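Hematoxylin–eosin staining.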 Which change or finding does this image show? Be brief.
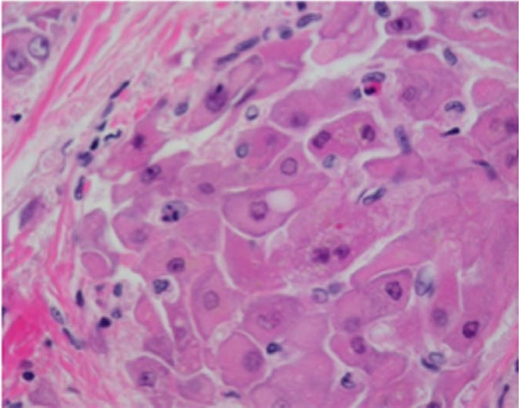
enlarged nuclei with distinct nucleolus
